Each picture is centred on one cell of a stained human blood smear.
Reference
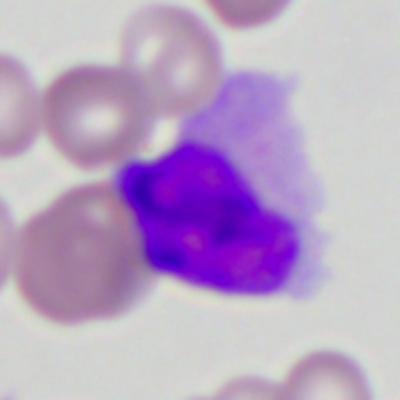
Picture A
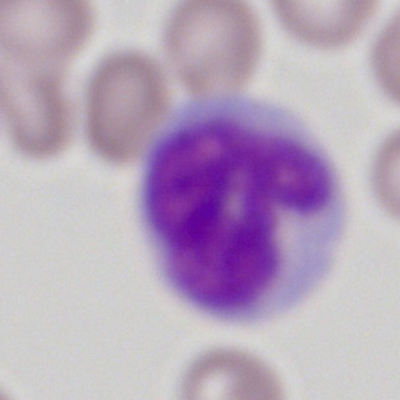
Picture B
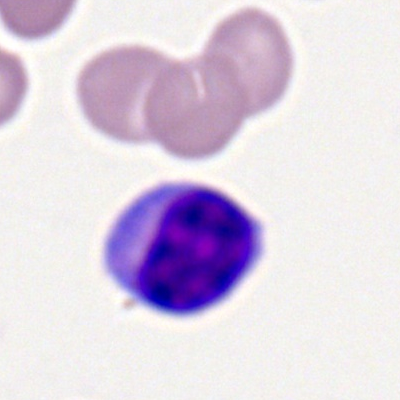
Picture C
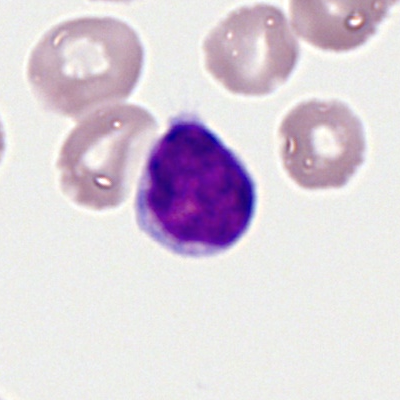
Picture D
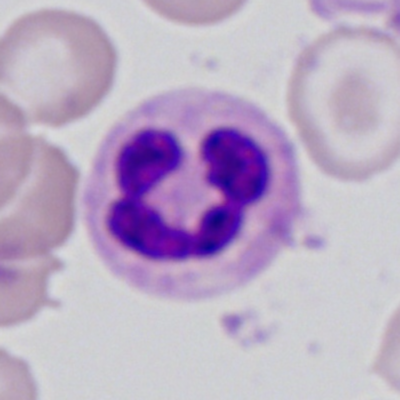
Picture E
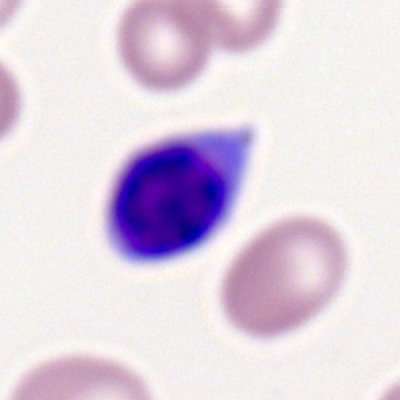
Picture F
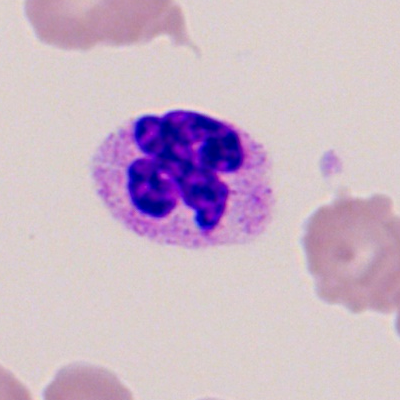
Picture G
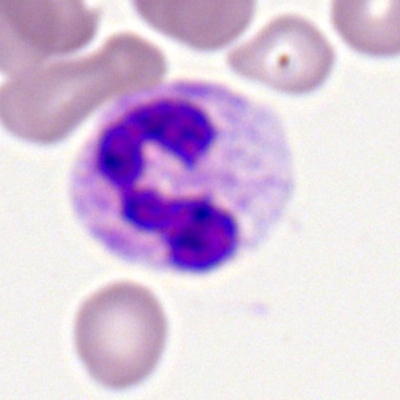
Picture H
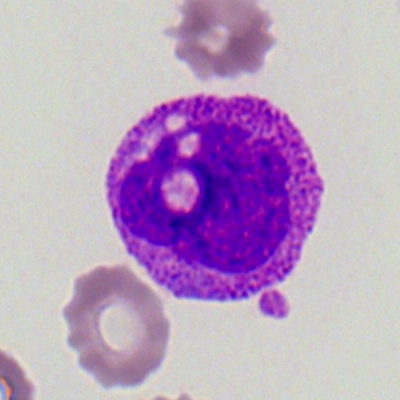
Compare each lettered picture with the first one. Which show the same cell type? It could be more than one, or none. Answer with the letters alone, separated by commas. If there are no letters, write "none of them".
A, H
